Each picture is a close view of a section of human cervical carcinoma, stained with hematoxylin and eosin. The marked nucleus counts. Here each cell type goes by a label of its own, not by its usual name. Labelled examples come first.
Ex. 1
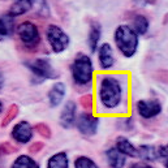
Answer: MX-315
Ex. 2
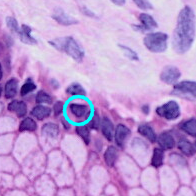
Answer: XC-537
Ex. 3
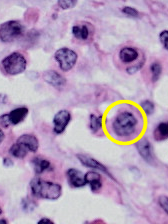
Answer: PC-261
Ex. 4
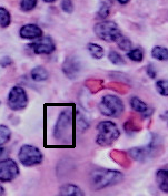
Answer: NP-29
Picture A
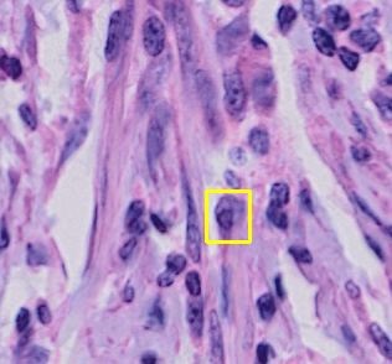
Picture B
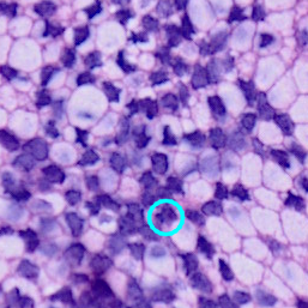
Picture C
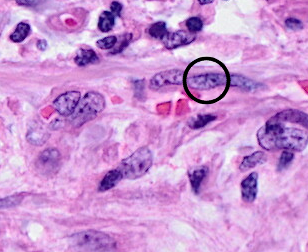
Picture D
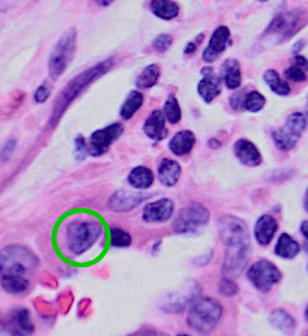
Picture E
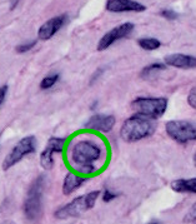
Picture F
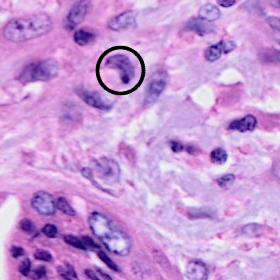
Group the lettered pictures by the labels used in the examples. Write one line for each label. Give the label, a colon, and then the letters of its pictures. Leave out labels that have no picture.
XC-537: B
PC-261: A, F
NP-29: C, D, E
